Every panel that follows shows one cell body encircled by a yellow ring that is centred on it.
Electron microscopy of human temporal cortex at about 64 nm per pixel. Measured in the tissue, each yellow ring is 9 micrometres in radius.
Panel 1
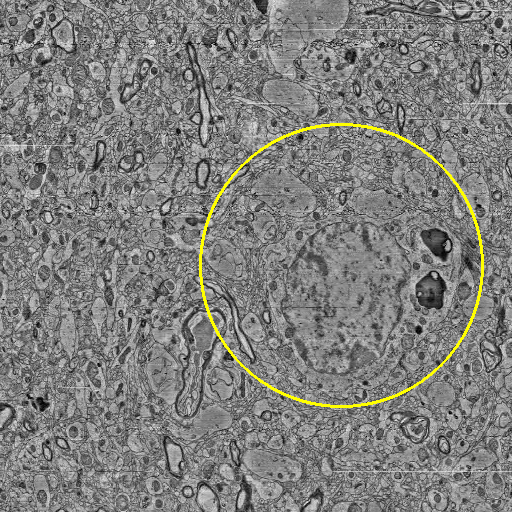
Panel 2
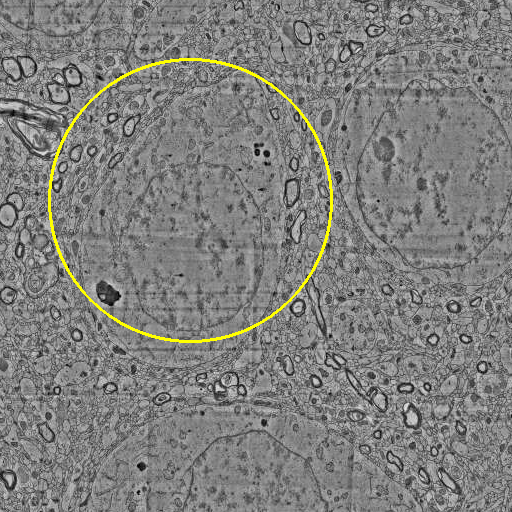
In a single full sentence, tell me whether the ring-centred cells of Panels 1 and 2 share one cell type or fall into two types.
In Panel 1 and Panel 2, the cells at the ring centres fall into two types.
